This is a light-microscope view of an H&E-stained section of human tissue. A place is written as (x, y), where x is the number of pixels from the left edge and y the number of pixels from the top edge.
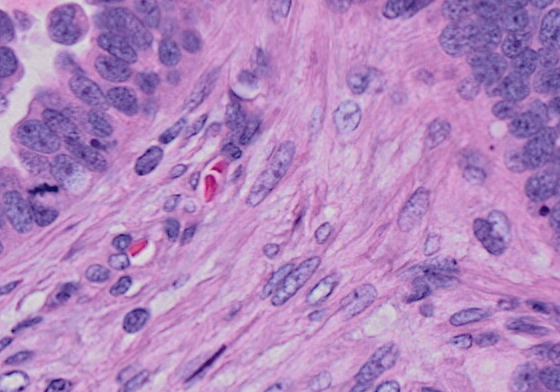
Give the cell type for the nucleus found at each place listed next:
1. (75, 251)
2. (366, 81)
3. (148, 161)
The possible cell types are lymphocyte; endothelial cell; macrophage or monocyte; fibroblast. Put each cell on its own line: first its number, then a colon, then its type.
1: fibroblast
2: fibroblast
3: macrophage or monocyte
